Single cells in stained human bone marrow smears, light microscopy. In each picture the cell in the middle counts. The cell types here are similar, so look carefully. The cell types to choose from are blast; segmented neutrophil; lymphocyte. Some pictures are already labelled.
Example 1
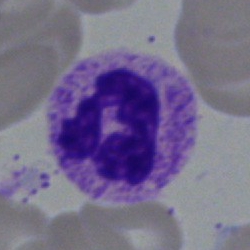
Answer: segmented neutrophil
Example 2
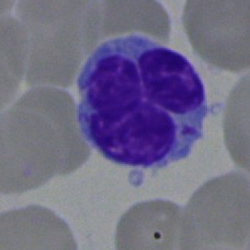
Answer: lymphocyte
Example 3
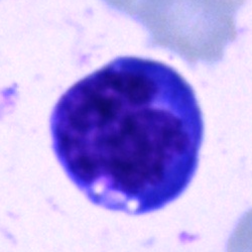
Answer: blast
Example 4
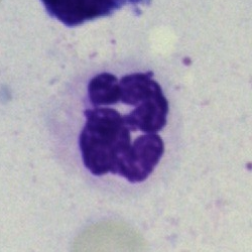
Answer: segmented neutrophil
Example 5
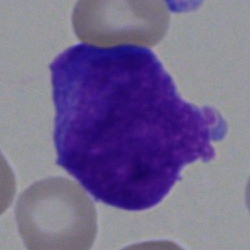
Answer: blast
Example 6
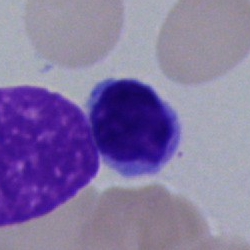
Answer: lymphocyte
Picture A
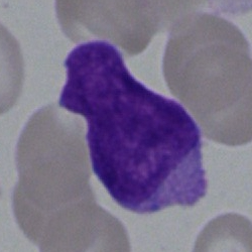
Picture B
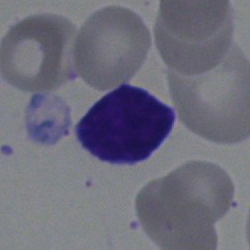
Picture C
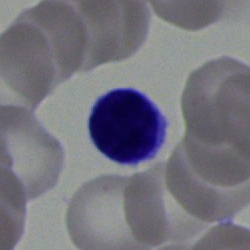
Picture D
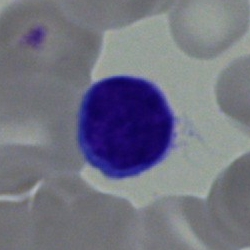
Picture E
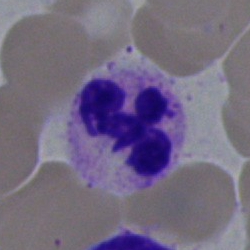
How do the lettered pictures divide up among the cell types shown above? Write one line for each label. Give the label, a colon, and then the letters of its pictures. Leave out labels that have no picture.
blast: A
segmented neutrophil: E
lymphocyte: B, C, D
